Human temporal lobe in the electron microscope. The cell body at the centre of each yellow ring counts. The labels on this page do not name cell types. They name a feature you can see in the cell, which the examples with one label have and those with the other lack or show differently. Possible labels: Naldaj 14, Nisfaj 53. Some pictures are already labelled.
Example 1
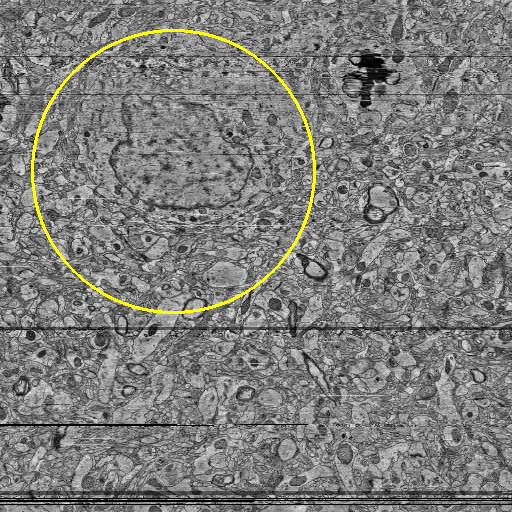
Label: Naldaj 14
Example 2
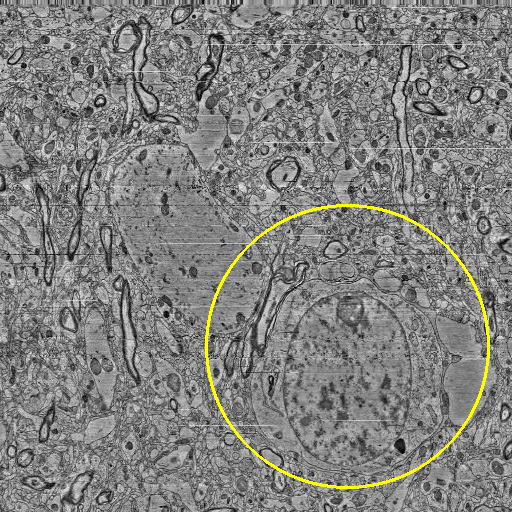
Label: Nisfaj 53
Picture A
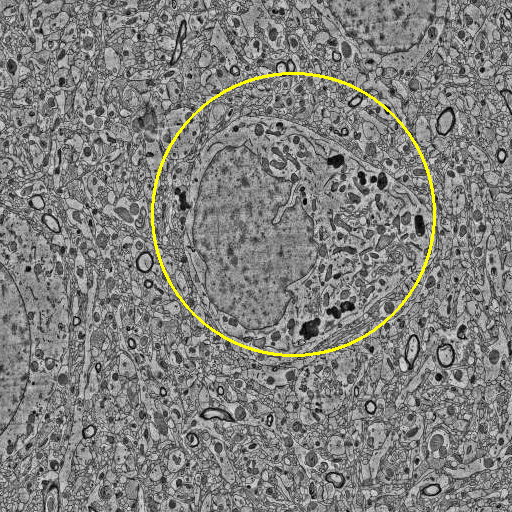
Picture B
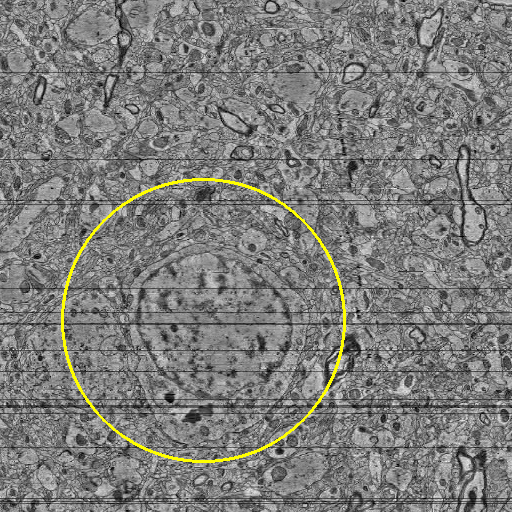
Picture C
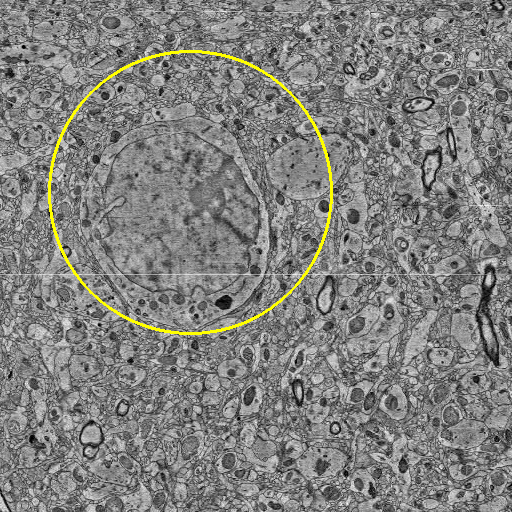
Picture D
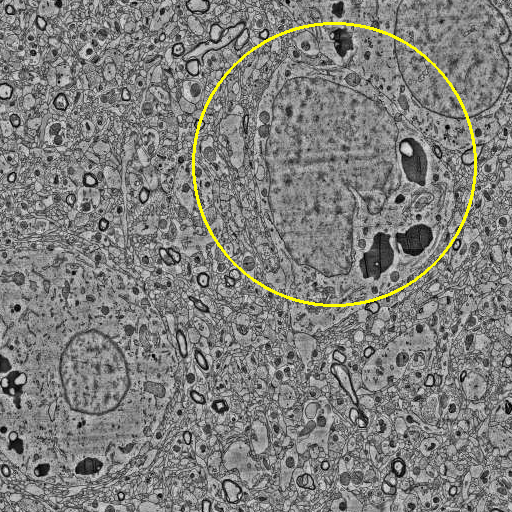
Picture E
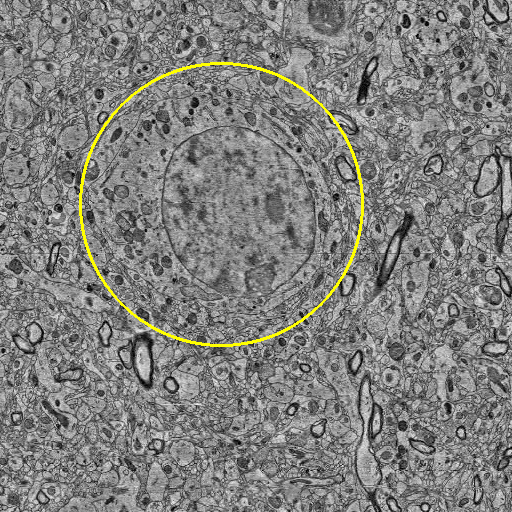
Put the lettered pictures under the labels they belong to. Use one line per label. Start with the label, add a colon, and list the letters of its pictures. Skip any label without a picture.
Naldaj 14: A, C, D
Nisfaj 53: B, E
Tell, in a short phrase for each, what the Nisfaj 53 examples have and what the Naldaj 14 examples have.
Seen in Nisfaj 53: smooth nuclear envelopes without deep folds; seen in Naldaj 14: deeply folded or indented nuclear envelopes.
